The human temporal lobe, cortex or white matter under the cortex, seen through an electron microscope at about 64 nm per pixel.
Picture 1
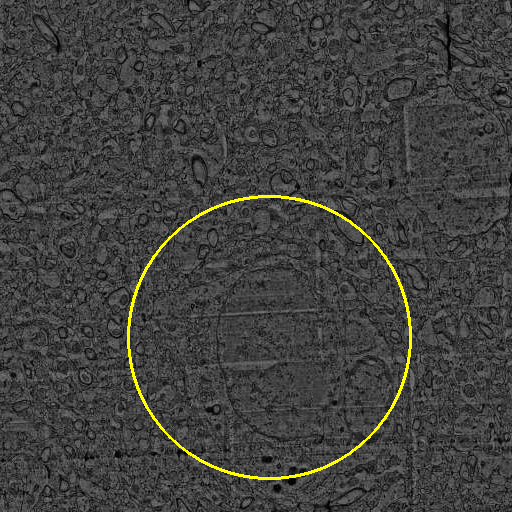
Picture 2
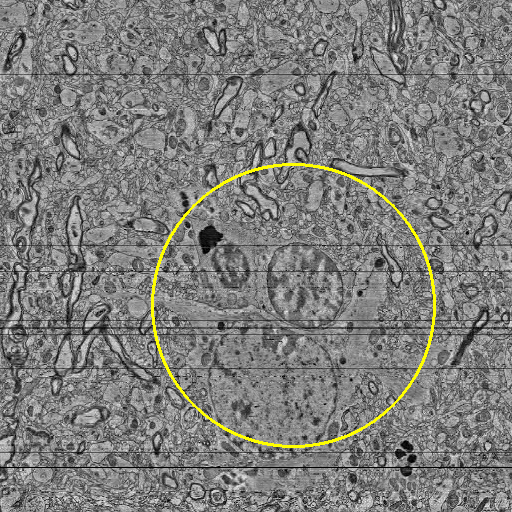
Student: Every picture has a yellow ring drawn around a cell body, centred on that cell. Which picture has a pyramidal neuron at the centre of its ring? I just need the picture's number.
1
